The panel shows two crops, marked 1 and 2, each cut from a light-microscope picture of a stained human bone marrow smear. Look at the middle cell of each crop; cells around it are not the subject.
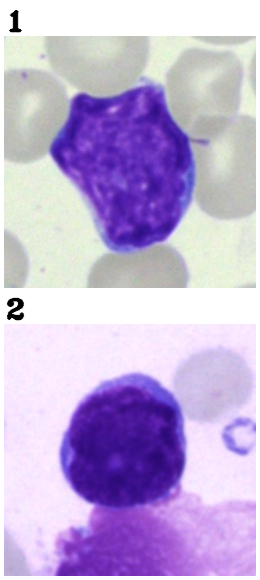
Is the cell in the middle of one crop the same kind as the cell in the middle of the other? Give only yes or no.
yes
